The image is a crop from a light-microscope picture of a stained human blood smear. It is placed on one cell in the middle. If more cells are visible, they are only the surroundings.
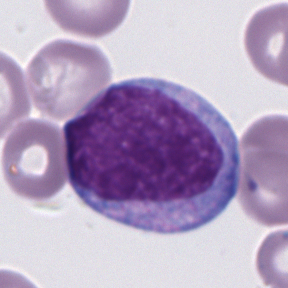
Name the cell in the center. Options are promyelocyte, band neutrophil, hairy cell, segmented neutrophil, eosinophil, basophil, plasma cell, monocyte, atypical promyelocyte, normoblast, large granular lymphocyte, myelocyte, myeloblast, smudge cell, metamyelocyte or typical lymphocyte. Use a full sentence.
The crop's centre is taken up by a promyelocyte.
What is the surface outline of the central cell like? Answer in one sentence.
The membrane contour is even and smooth, with nothing projecting from it.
